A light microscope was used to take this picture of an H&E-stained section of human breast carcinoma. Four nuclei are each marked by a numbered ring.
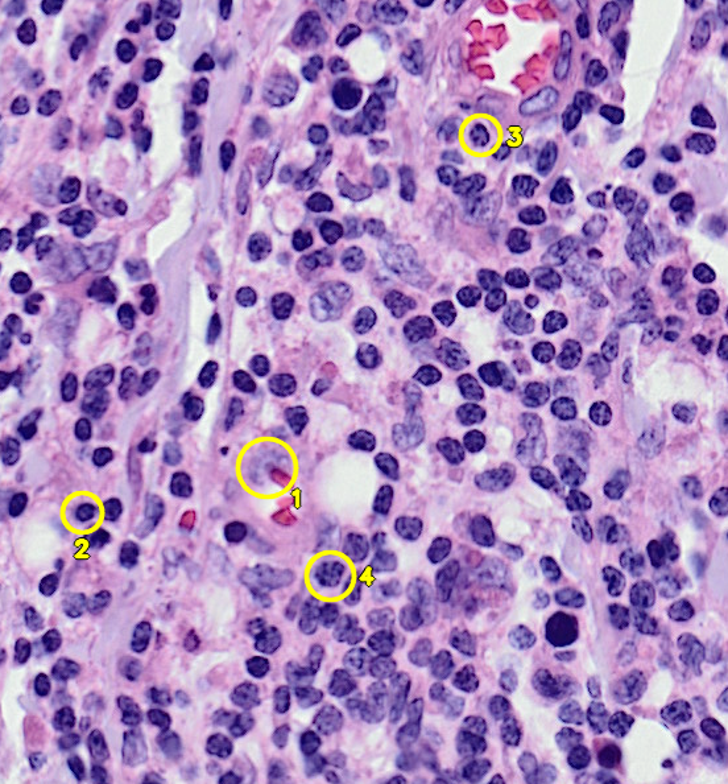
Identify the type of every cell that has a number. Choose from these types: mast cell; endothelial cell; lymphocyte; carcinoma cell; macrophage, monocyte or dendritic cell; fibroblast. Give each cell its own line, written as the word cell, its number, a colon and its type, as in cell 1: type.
cell 1: endothelial cell
cell 2: lymphocyte
cell 3: lymphocyte
cell 4: lymphocyte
